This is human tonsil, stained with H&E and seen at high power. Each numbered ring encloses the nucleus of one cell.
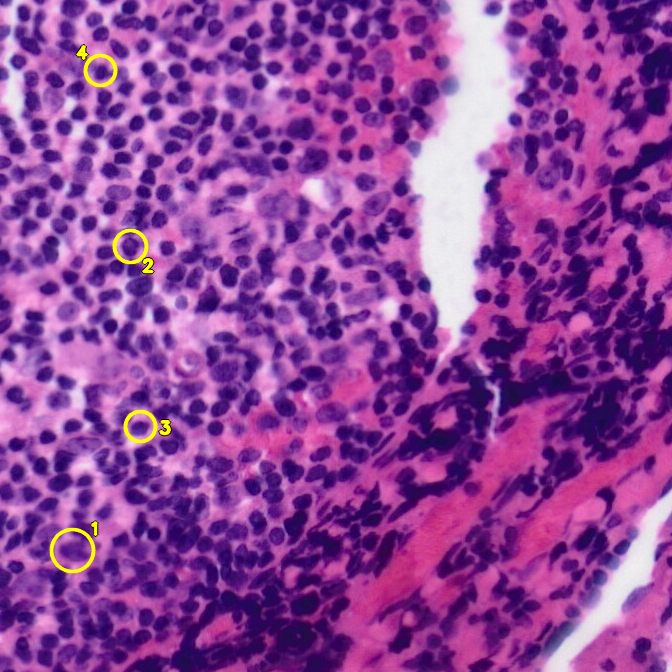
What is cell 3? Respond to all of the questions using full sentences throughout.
The nucleus with number 3 is that of a small lymphocyte.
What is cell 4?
The cell identified by number 4 is a small lymphocyte.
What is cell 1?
The cell pointed out by number 1 is a proliferating B cell.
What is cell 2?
The cell with the number 2 is a small lymphocyte.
